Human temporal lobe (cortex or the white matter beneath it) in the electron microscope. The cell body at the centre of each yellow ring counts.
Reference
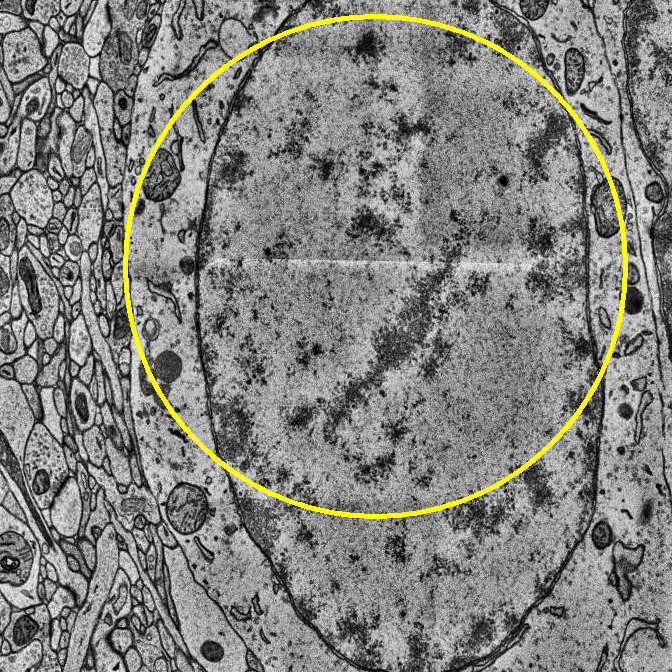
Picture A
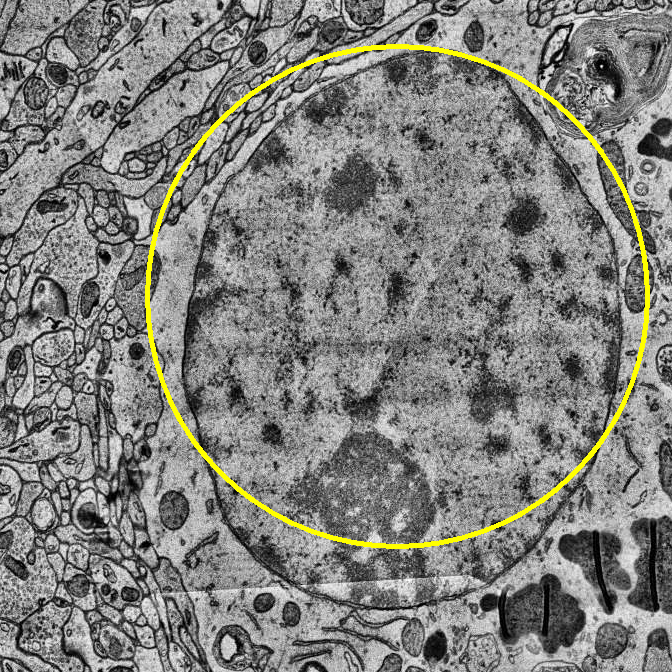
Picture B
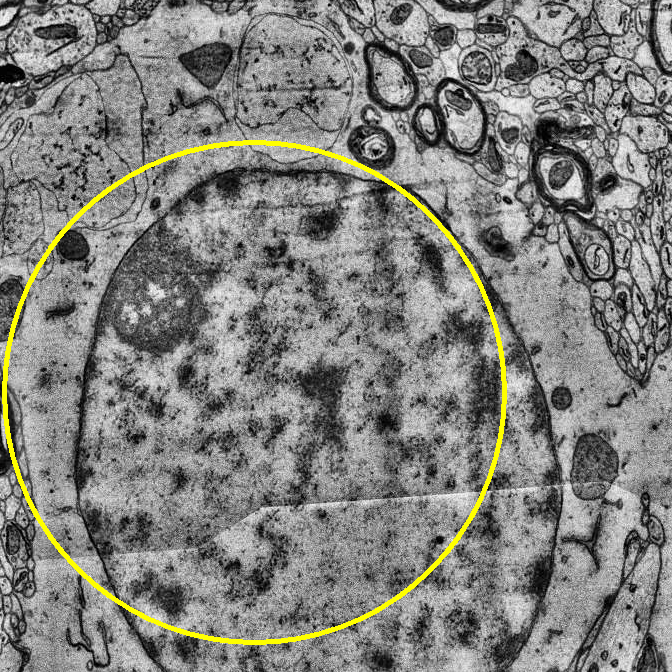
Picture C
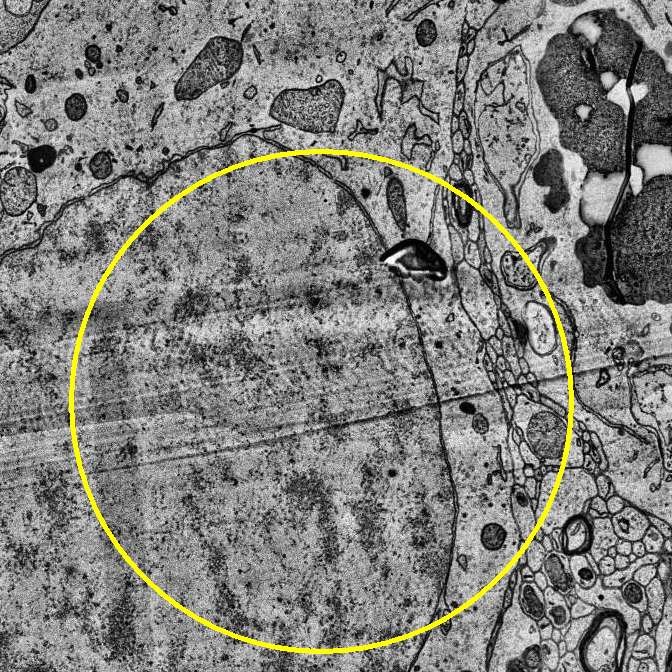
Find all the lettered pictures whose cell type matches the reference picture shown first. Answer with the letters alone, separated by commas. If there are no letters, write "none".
C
